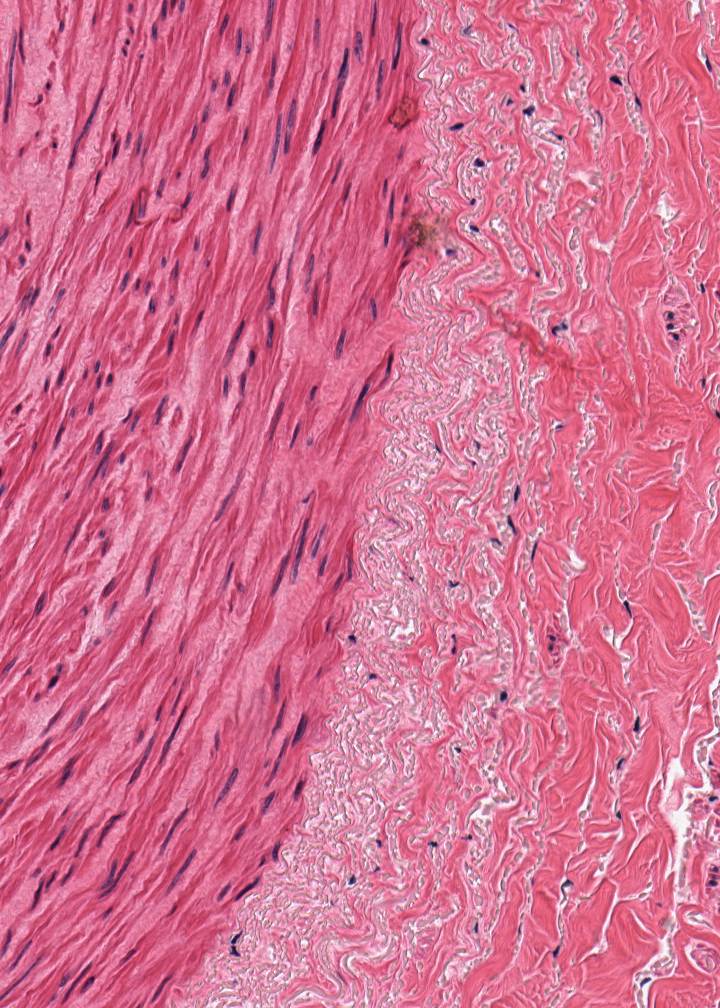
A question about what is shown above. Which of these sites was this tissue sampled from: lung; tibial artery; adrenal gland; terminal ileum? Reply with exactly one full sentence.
From the tibial artery this tissue was sampled.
